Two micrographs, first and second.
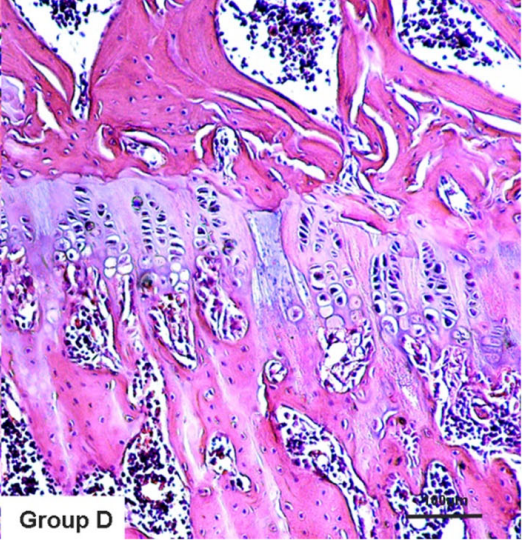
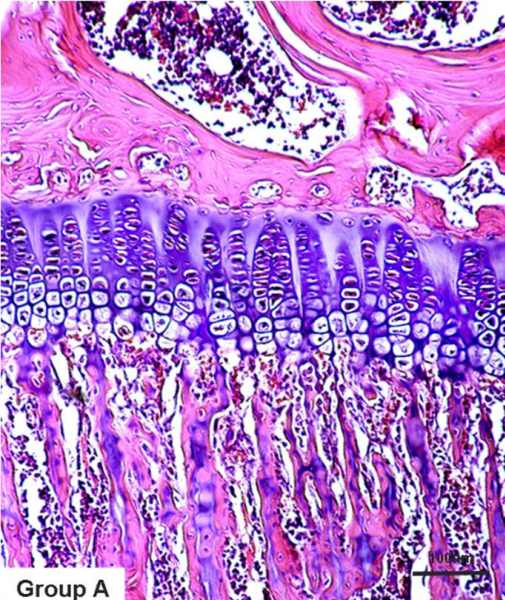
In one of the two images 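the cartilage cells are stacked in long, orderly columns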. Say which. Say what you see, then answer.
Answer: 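The second image. First image: cartilage cells lie in short, irregular clusters interrupted by pink matrix. Second image: cartilage cells form long, parallel columns across a continuous purple band.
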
